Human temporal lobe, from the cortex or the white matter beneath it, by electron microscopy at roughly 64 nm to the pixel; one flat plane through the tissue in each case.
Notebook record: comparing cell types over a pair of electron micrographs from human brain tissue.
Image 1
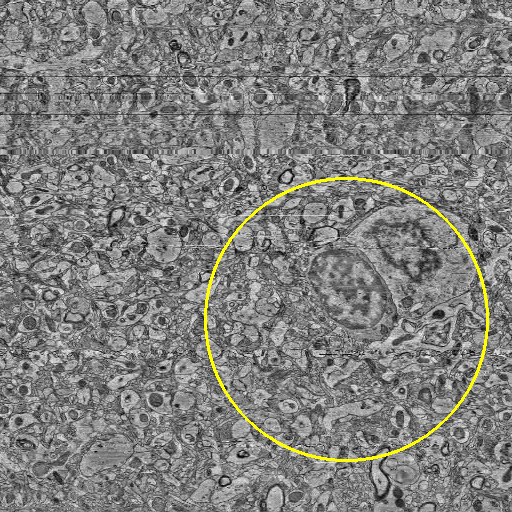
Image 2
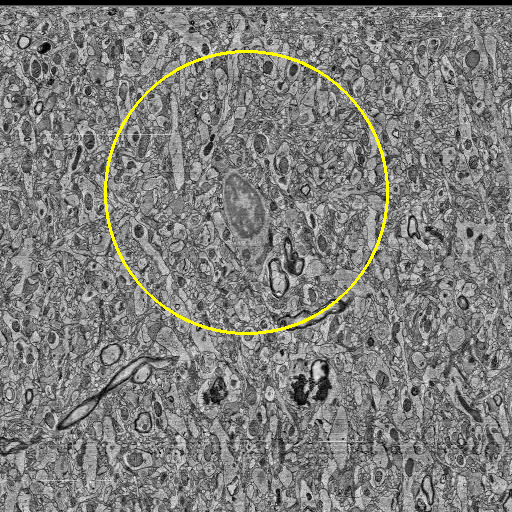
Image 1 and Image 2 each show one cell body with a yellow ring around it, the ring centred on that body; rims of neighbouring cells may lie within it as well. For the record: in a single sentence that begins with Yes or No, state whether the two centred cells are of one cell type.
Yes, one cell type is shared by the centred cells of Image 1 and Image 2.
